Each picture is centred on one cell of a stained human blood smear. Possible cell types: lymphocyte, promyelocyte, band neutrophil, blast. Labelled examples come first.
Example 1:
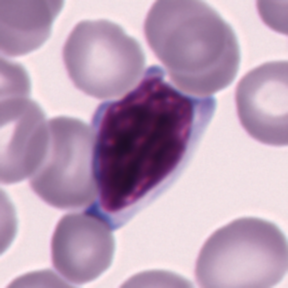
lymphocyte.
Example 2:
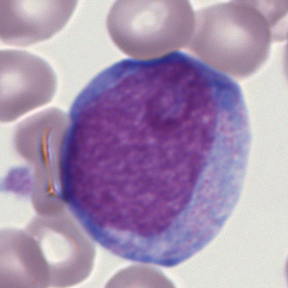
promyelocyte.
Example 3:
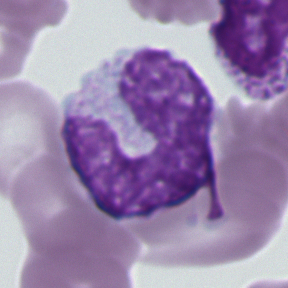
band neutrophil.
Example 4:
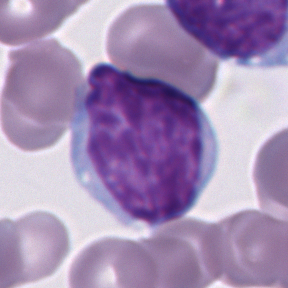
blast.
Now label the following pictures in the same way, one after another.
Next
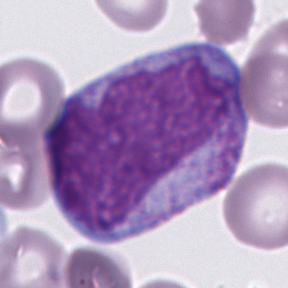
promyelocyte.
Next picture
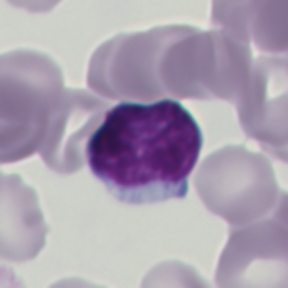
lymphocyte.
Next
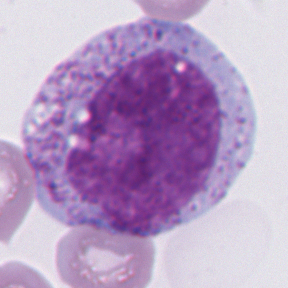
promyelocyte.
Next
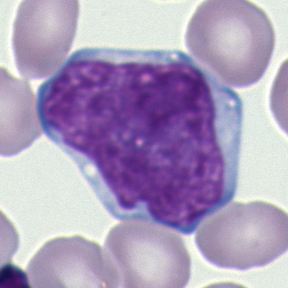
blast.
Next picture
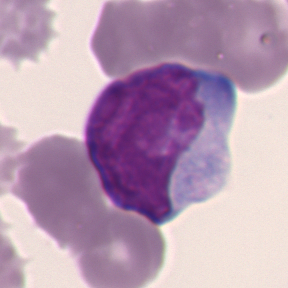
blast.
